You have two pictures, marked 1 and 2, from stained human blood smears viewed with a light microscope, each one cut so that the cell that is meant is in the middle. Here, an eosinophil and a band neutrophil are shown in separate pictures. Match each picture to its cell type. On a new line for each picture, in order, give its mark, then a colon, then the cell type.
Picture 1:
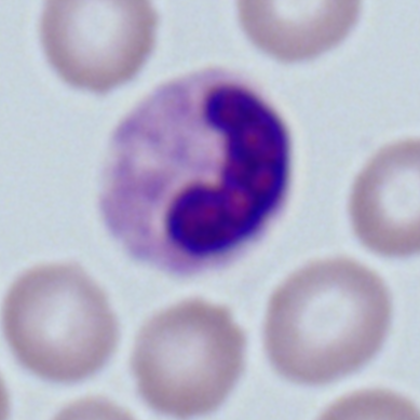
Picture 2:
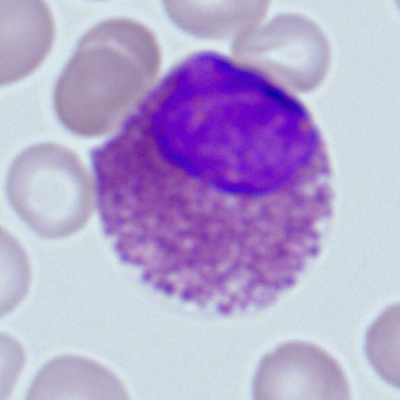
1: band neutrophil
2: eosinophil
